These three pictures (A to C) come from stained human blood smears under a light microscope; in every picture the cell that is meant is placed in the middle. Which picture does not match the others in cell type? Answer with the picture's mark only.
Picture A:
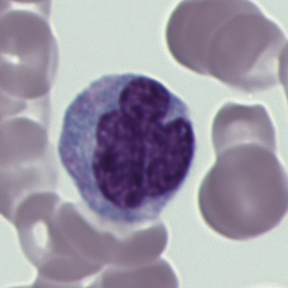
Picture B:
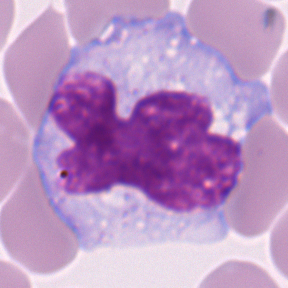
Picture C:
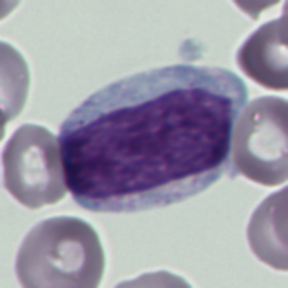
C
